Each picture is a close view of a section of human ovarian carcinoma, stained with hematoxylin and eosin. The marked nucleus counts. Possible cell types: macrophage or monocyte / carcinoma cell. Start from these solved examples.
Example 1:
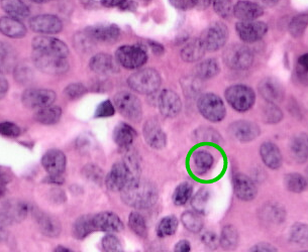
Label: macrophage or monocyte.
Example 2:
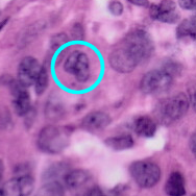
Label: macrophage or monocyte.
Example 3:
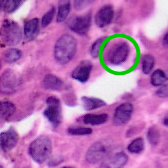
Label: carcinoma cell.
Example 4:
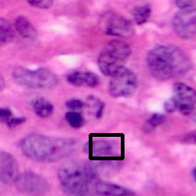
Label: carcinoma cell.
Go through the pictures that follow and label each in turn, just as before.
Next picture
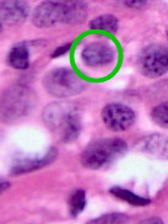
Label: macrophage or monocyte.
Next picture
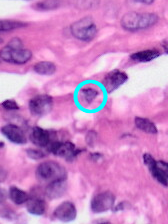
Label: macrophage or monocyte.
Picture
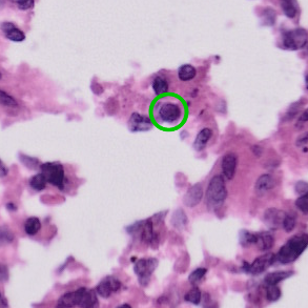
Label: macrophage or monocyte.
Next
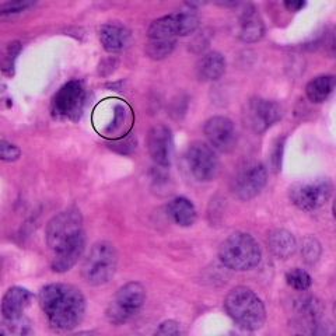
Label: macrophage or monocyte.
